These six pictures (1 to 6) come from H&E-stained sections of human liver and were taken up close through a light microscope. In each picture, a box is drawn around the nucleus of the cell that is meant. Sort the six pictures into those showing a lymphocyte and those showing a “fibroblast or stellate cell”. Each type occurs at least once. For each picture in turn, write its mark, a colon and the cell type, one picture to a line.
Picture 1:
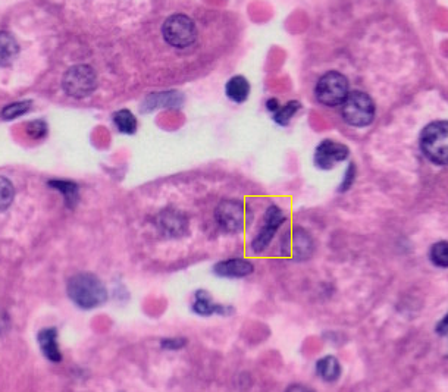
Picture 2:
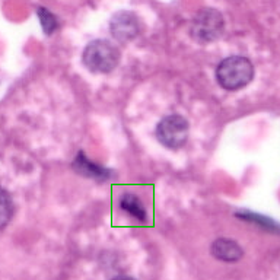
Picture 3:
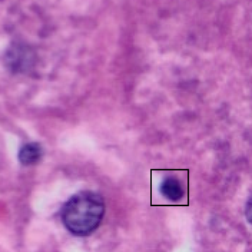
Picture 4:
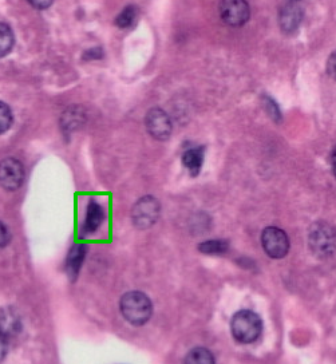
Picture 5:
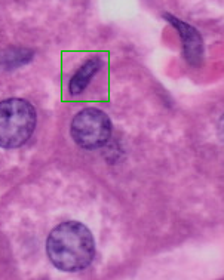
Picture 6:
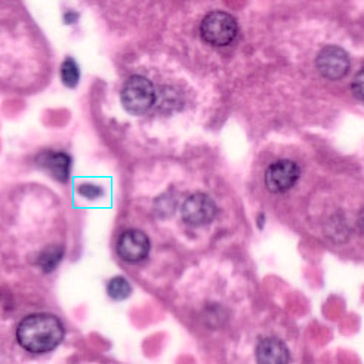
1: fibroblast or stellate cell
2: fibroblast or stellate cell
3: lymphocyte
4: fibroblast or stellate cell
5: fibroblast or stellate cell
6: lymphocyte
